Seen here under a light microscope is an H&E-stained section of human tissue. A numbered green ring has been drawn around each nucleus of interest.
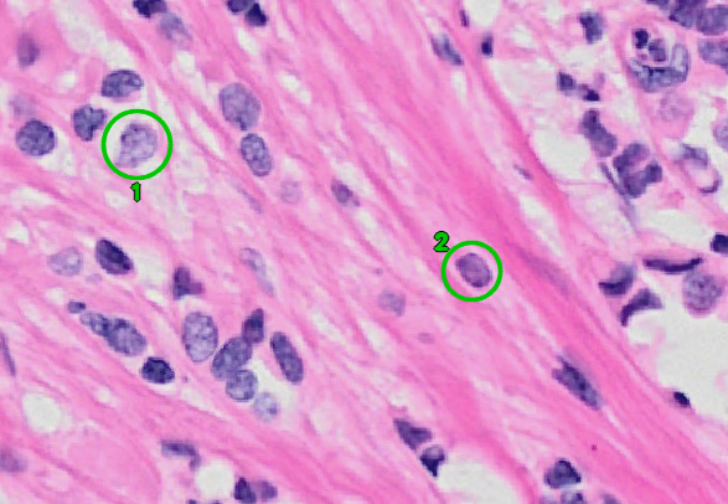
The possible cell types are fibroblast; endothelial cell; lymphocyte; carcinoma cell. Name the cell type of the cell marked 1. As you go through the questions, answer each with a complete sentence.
Nucleus 1 in this section belongs to a carcinoma cell.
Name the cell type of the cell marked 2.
At number 2, the marked cell is a lymphocyte.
